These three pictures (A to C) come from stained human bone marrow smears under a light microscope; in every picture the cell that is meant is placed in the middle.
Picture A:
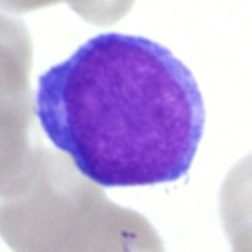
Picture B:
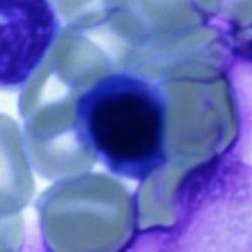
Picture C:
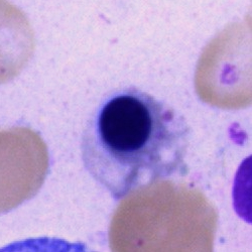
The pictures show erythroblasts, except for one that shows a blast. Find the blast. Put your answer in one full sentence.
The blast is the one in picture A.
